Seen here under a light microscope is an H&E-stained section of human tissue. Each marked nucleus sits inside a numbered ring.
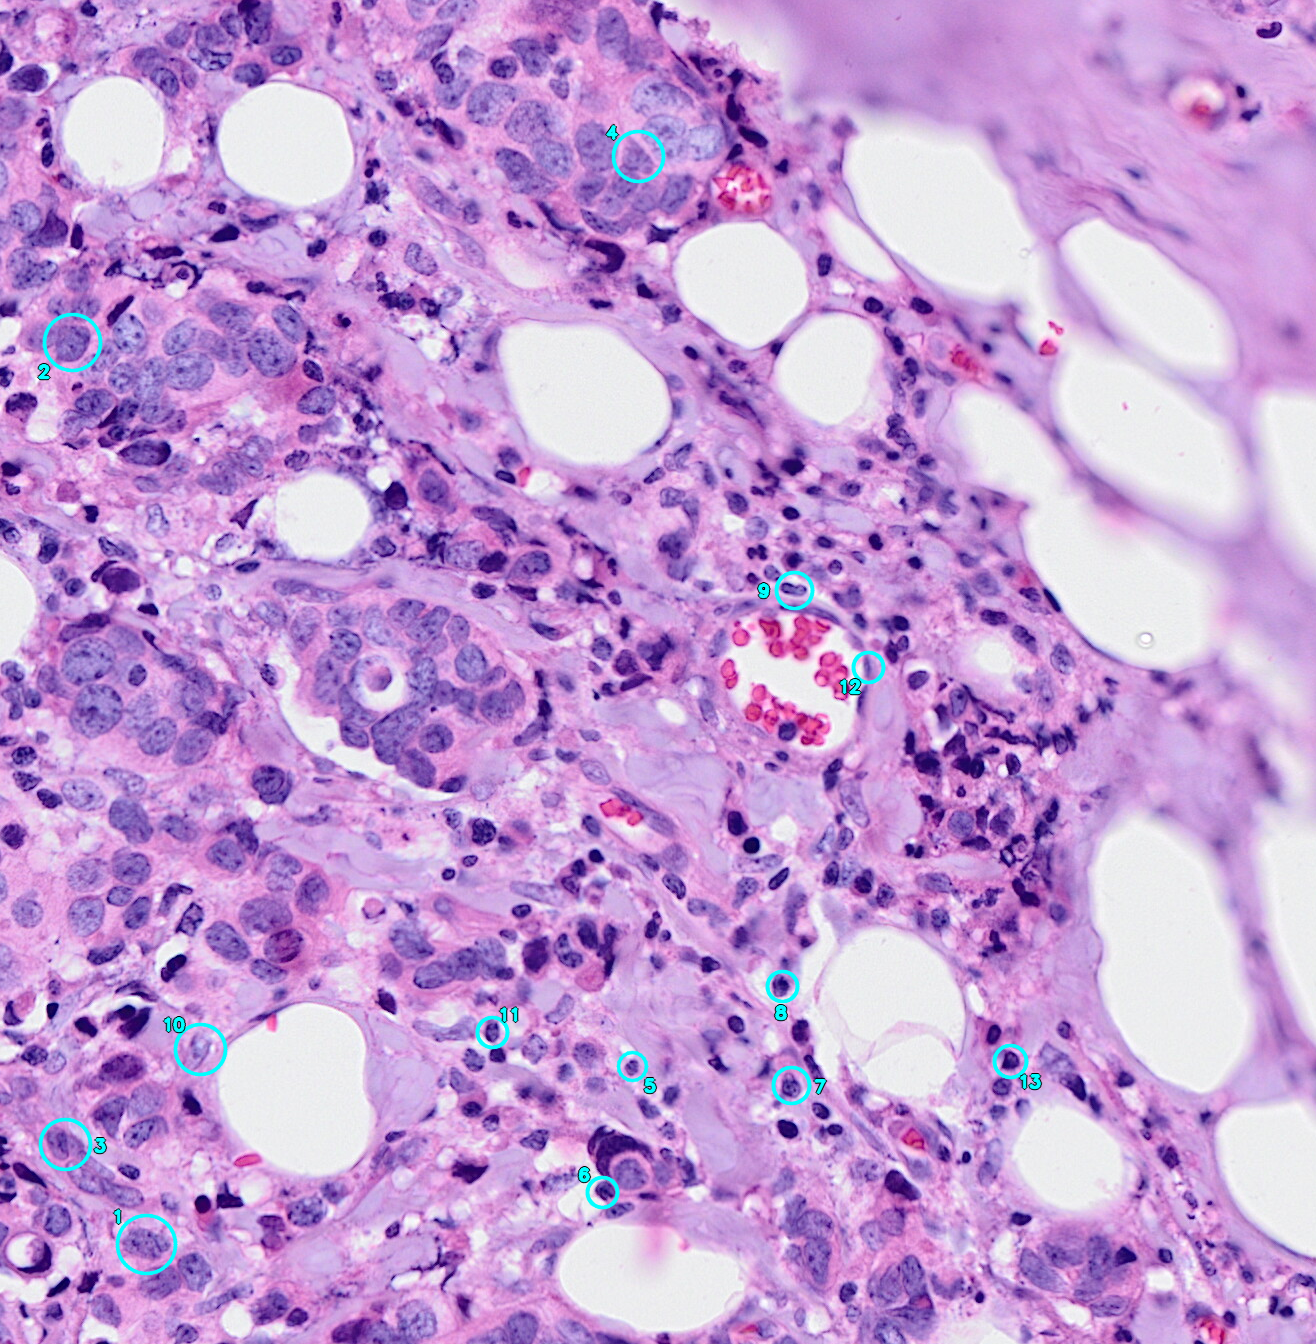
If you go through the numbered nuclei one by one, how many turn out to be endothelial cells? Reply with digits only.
2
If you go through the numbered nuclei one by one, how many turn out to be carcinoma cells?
3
